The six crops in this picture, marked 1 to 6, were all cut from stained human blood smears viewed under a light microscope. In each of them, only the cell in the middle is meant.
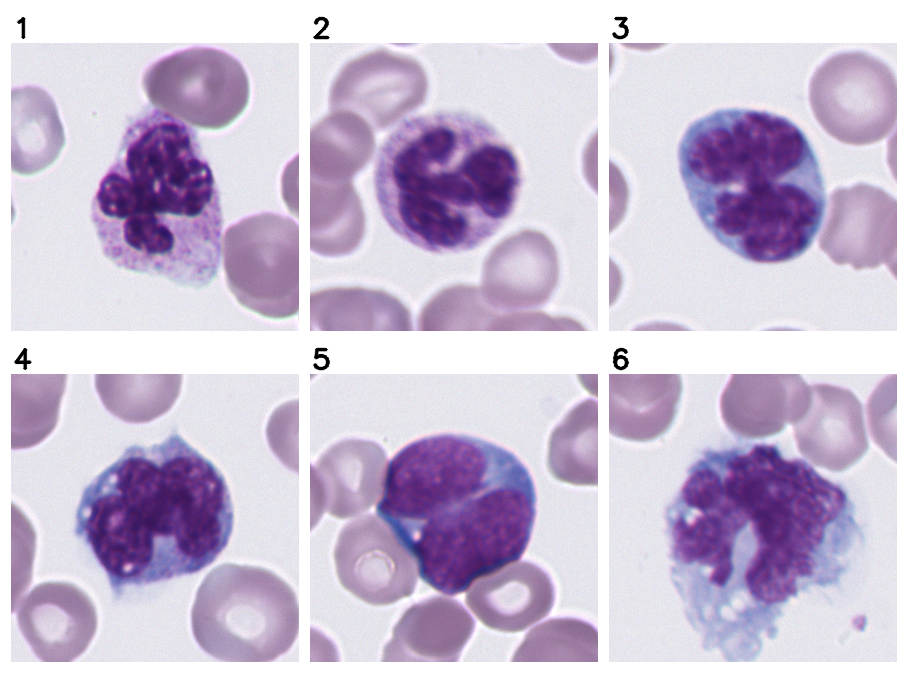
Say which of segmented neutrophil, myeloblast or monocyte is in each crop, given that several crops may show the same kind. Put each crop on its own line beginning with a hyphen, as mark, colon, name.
- 1: segmented neutrophil
- 2: segmented neutrophil
- 3: myeloblast
- 4: monocyte
- 5: myeloblast
- 6: monocyte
